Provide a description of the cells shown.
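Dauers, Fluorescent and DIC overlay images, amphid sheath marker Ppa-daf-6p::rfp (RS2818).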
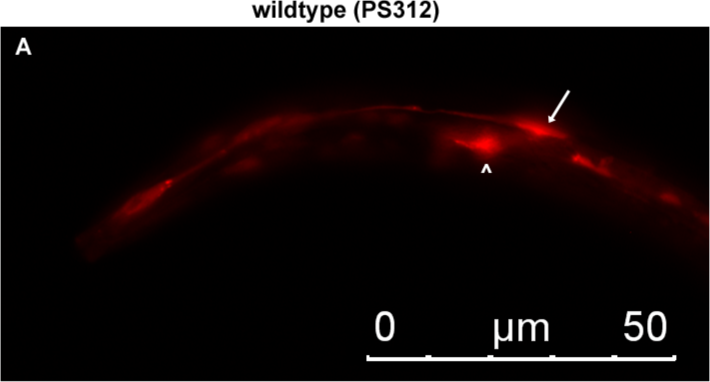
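The slender body curves gently, its anterior end toward the left. Thin red processes run lengthwise along the body toward the tip of the head. Partway back, a bright compact spot sits on the dorsal side where a process thickens, and just ventral and slightly anterior to it lies another bright, rounded cell body. Fainter diffuse red patches are scattered along the body, and a faint glow outlines the worm.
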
